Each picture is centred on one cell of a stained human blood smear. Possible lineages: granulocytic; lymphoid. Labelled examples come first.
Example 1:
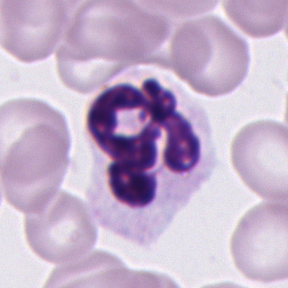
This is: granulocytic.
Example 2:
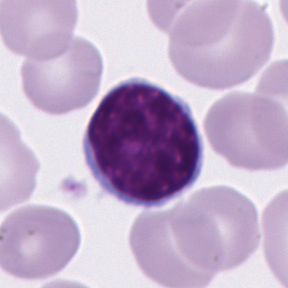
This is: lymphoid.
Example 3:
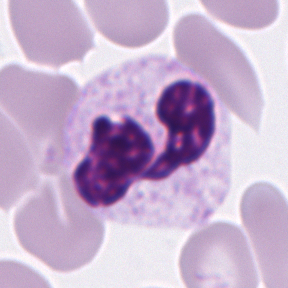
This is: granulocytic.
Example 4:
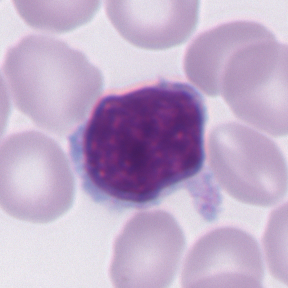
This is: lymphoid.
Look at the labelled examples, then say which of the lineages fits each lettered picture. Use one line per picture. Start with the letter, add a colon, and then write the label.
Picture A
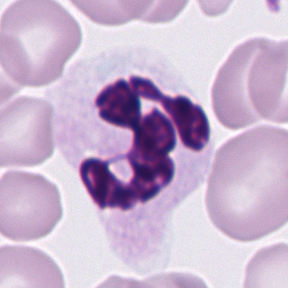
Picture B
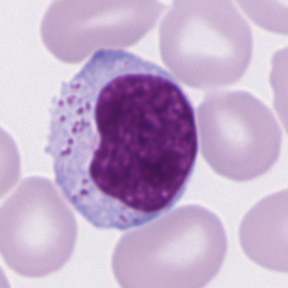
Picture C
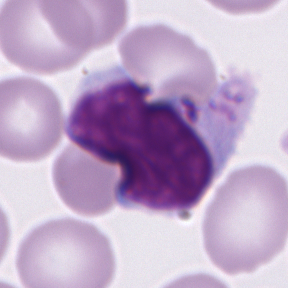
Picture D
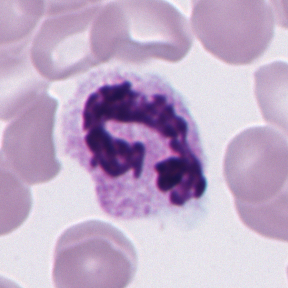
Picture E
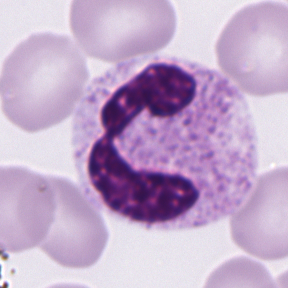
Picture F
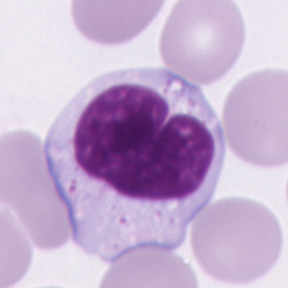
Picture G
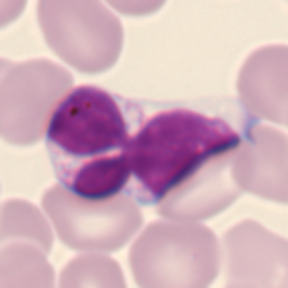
A: granulocytic.
B: lymphoid.
C: lymphoid.
D: granulocytic.
E: granulocytic.
F: lymphoid.
G: lymphoid.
